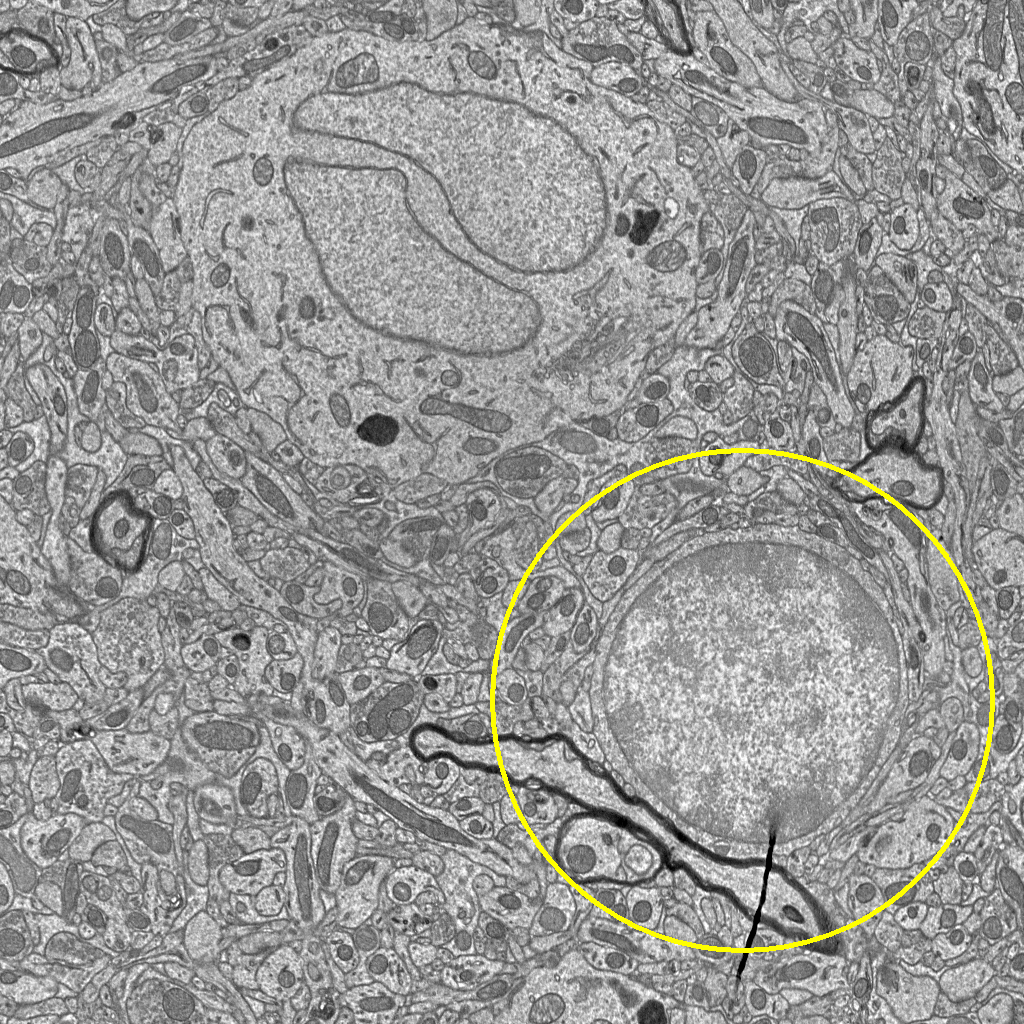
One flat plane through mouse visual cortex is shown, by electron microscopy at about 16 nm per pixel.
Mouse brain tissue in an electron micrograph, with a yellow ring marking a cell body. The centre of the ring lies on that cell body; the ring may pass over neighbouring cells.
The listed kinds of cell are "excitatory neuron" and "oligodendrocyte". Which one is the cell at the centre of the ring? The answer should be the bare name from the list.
oligodendrocyte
